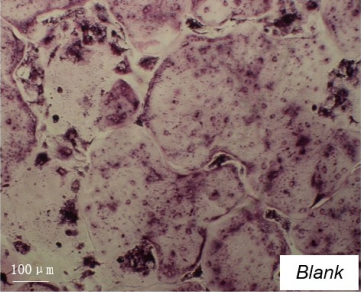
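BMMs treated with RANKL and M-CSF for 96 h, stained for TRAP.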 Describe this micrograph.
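The field is crowded with very large, flat, pale purple cells that touch one another along thin clear borders, many of them wider than the scale bar. Each holds numerous small dark dots spread through its stained cytoplasm, and small dense dark clumps lie along the borders between them.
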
